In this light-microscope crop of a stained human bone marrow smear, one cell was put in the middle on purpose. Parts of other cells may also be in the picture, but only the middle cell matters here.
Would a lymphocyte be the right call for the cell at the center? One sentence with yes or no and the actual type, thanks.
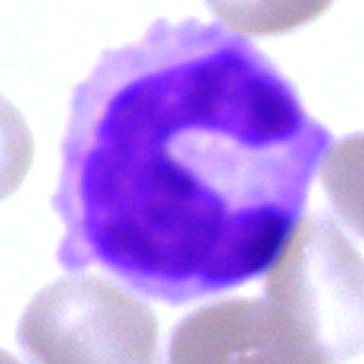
No, the central cell is reported as a monocyte rather than as a lymphocyte.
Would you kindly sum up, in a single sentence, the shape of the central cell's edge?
The cell shows an uneven border, formed by ragged areas or by outward projections.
